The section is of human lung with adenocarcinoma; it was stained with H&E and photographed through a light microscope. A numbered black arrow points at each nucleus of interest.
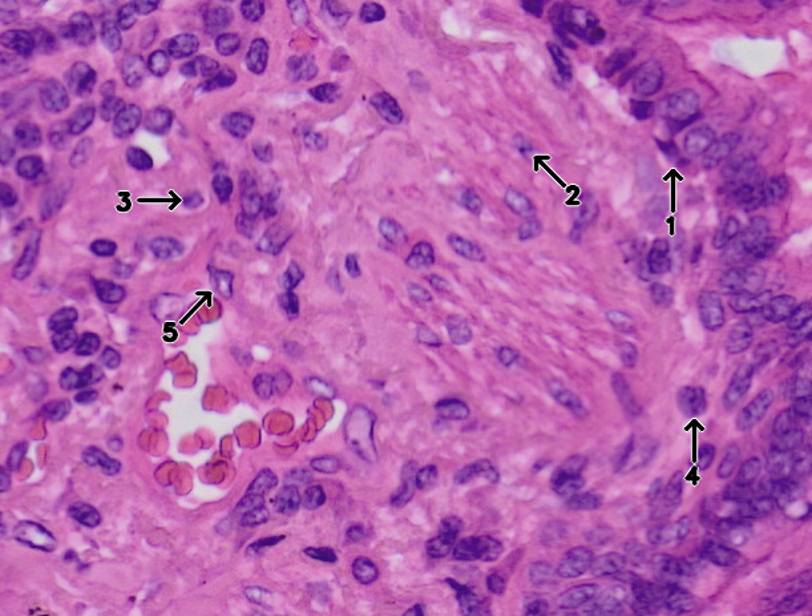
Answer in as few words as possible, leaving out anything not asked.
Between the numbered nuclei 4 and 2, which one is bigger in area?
4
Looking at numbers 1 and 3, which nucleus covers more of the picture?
1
